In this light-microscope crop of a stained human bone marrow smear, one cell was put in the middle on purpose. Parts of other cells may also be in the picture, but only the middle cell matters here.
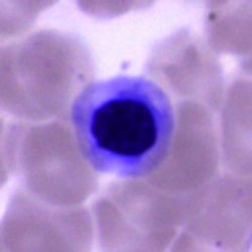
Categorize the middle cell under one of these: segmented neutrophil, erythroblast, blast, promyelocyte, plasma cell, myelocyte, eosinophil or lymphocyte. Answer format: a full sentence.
On this slide crop, the central cell is an erythroblast.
